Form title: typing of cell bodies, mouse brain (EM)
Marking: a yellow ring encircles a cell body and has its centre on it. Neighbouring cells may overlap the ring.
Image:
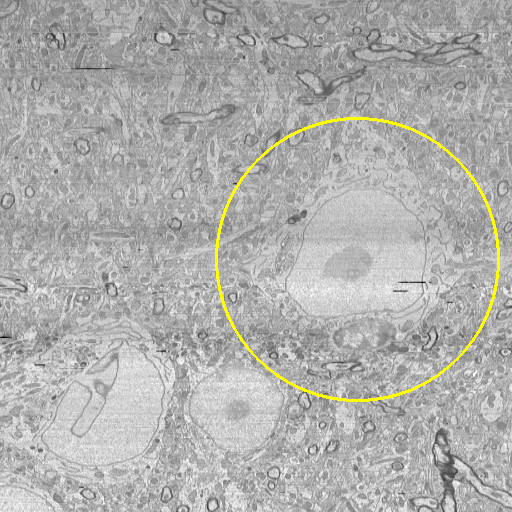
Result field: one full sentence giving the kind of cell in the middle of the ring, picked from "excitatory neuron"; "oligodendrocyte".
In the picture, the ring is centred on an excitatory neuron, whose cell body it encircles.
